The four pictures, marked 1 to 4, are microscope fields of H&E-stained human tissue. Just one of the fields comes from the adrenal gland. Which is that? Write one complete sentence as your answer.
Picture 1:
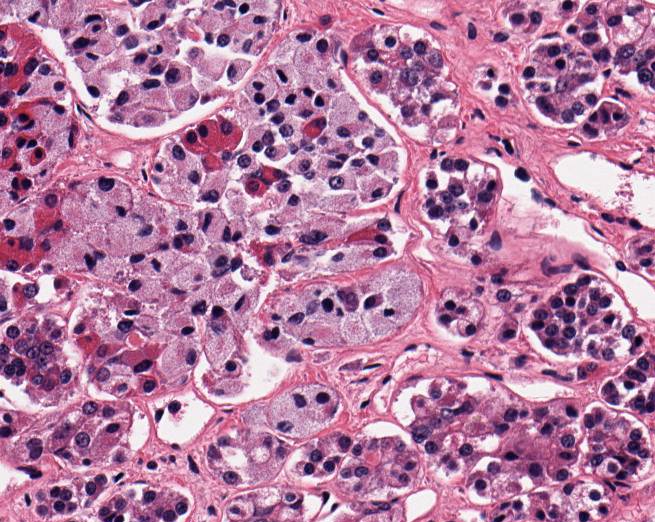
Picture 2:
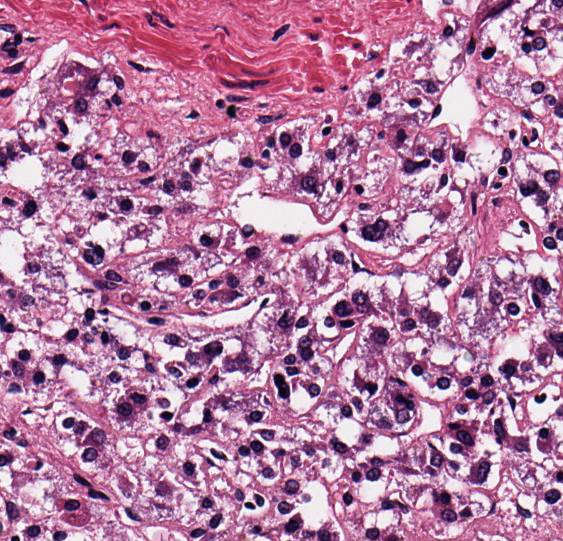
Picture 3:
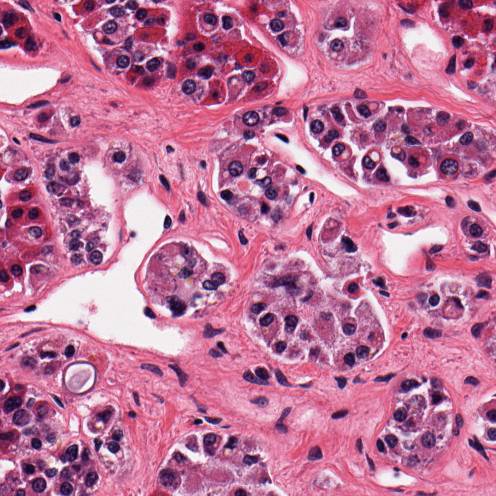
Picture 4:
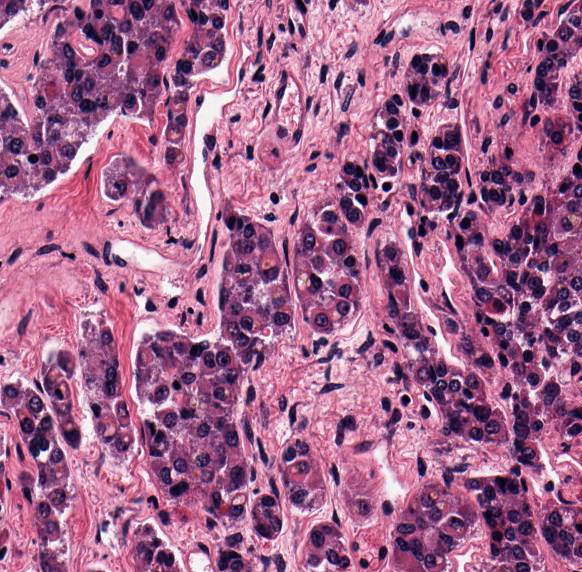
Picture 2 comes from the adrenal gland.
